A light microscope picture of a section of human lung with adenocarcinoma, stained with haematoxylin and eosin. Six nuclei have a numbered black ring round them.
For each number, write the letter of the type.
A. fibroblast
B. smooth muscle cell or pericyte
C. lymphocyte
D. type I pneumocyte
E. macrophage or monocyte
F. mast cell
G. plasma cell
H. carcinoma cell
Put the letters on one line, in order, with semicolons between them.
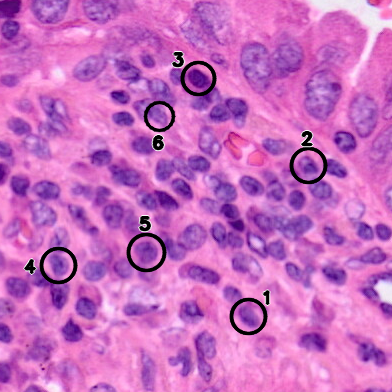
G; C; G; C; C; C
